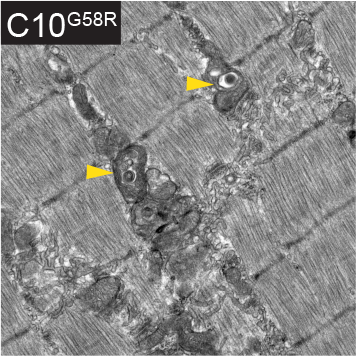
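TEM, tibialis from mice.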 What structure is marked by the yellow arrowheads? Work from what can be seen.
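Intramitochondrial inclusions. Yellow arrowheads point to concentric ring-shaped bodies within mitochondria between myofibrils.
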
